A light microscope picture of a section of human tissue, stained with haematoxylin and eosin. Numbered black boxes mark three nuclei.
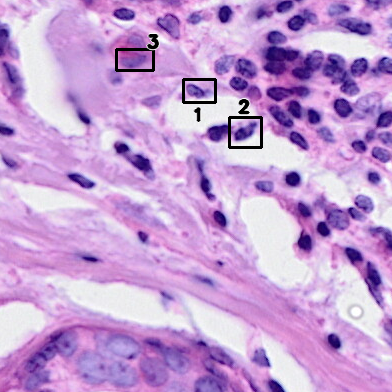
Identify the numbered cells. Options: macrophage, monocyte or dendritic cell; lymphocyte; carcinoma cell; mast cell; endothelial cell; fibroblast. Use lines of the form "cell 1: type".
cell 1: lymphocyte
cell 2: lymphocyte
cell 3: endothelial cell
